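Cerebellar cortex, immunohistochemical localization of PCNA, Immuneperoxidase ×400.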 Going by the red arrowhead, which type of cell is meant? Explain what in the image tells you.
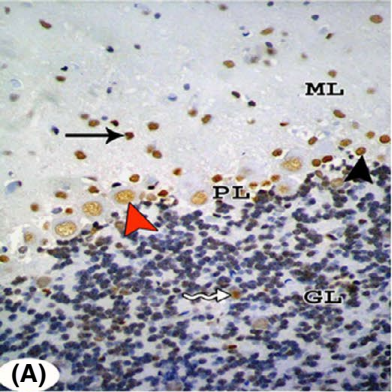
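Large rounded cell bodies with big brown nuclei lie in a single row. The row sits between the pale upper layer and the densely packed small-nucleus layer. The answer: Purkinje cells.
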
